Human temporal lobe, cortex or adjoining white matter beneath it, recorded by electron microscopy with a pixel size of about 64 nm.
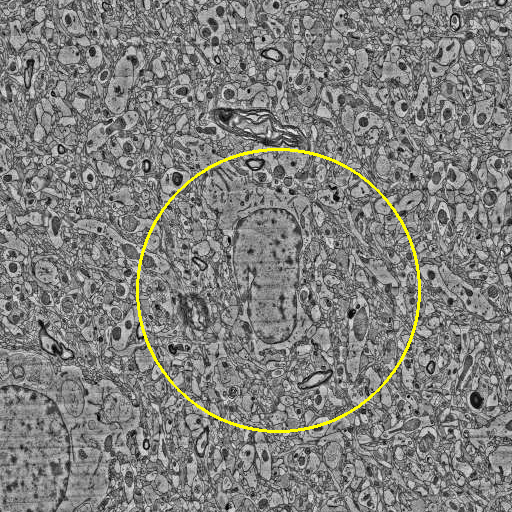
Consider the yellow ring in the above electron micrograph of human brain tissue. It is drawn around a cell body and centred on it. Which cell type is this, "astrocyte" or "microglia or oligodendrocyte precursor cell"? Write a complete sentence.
The cell in question is a microglial cell or oligodendrocyte precursor cell.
